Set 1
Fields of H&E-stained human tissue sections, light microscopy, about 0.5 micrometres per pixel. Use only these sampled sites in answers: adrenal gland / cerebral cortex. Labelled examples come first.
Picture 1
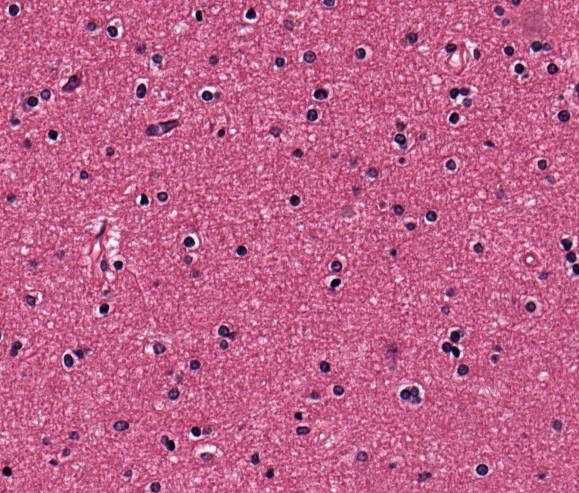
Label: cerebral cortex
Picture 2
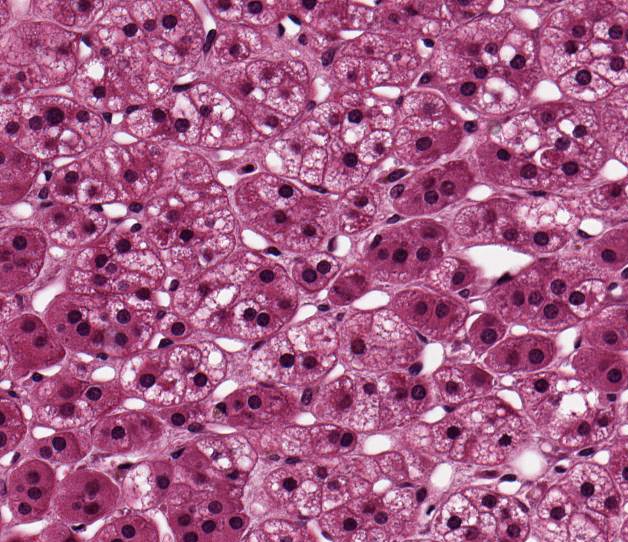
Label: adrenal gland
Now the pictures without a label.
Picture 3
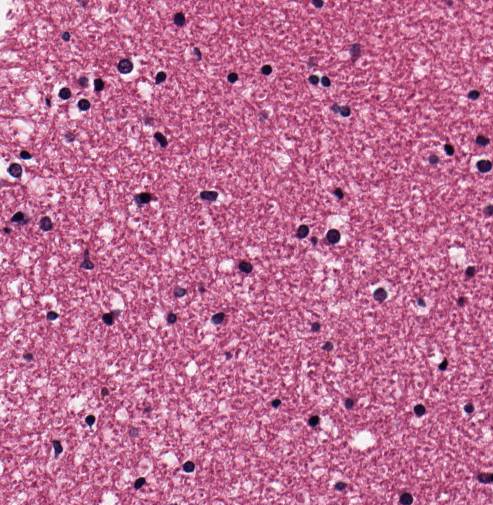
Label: cerebral cortex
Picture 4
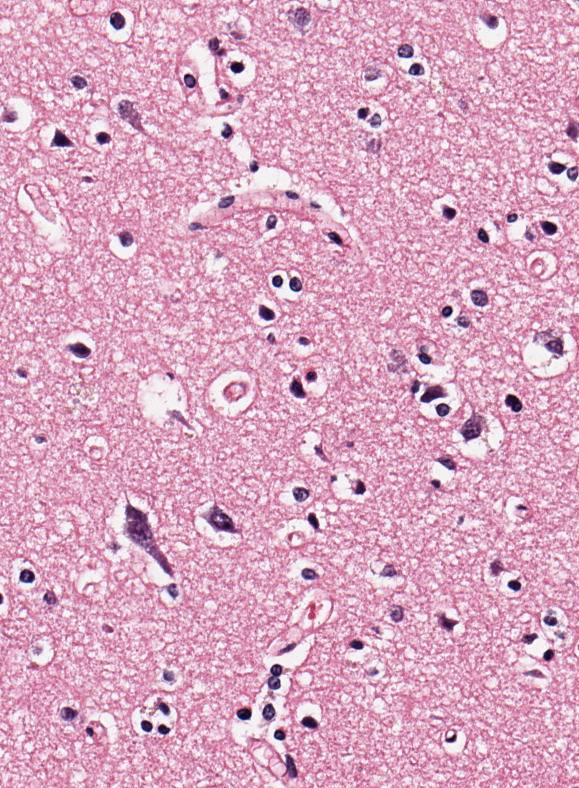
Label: cerebral cortex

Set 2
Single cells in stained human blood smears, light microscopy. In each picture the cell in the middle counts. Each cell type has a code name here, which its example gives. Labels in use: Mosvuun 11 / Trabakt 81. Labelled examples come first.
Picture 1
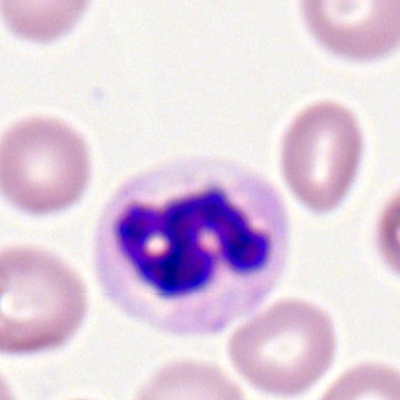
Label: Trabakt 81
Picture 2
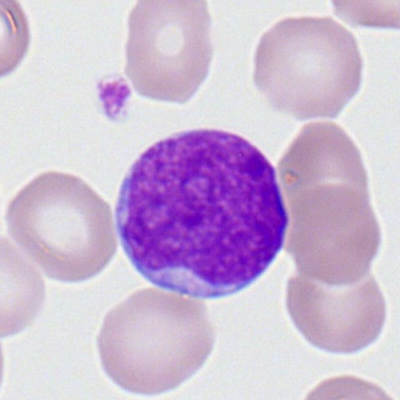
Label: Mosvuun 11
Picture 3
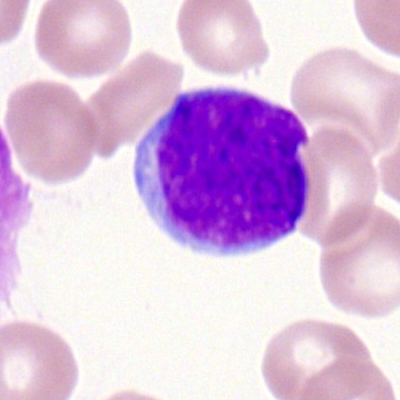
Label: Mosvuun 11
